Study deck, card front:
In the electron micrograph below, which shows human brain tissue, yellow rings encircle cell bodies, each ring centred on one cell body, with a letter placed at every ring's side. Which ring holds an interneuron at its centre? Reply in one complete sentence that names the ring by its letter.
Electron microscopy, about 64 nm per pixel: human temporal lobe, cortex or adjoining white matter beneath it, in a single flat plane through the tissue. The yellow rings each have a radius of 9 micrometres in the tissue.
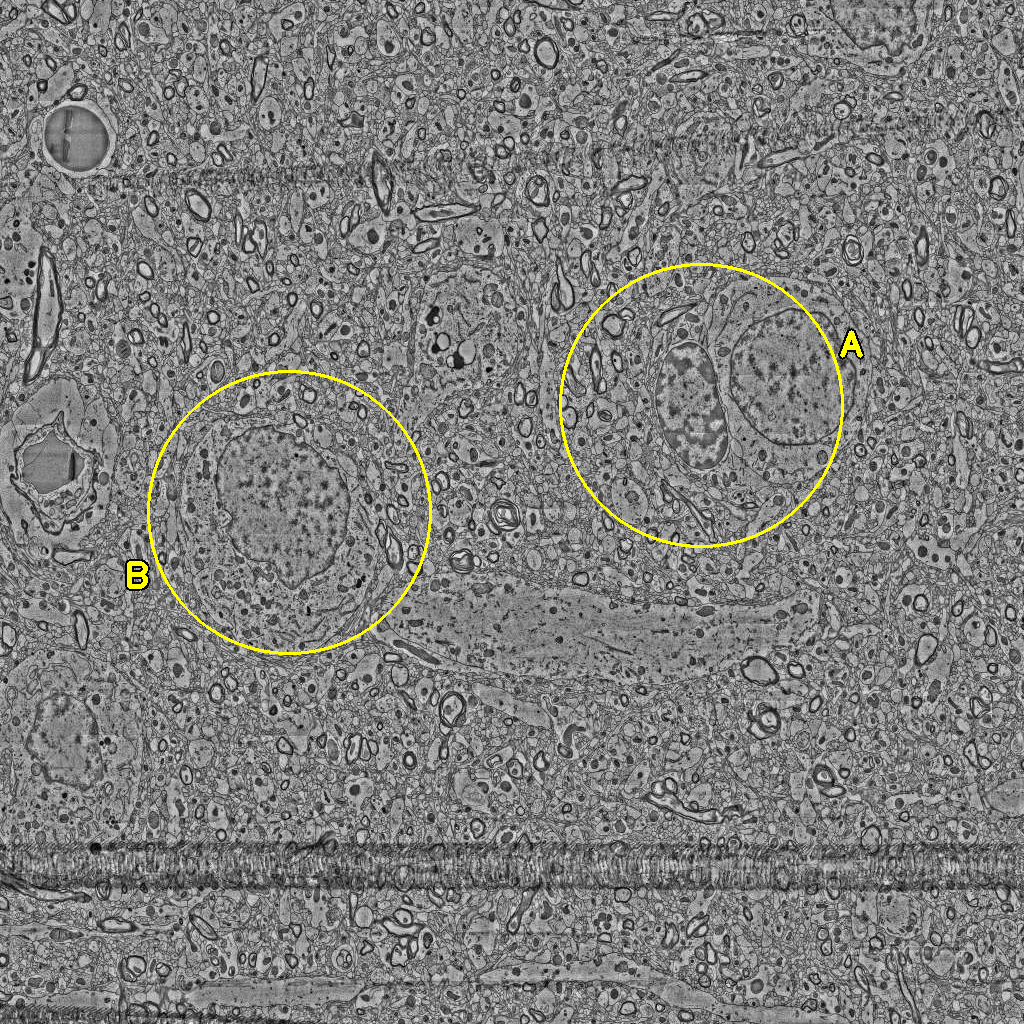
The cell asked for sits at the centre of ring B in the picture.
